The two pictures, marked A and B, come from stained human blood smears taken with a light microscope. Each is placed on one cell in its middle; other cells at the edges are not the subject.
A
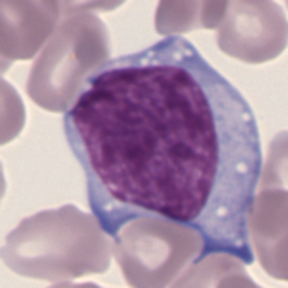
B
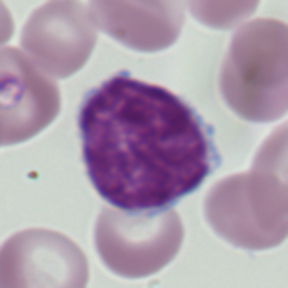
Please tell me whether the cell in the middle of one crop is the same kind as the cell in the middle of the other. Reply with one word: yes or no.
no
